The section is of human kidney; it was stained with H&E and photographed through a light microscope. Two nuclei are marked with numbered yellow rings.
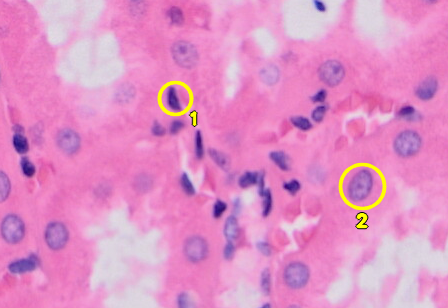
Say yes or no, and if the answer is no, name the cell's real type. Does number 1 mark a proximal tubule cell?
No, it is an endothelial cell.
